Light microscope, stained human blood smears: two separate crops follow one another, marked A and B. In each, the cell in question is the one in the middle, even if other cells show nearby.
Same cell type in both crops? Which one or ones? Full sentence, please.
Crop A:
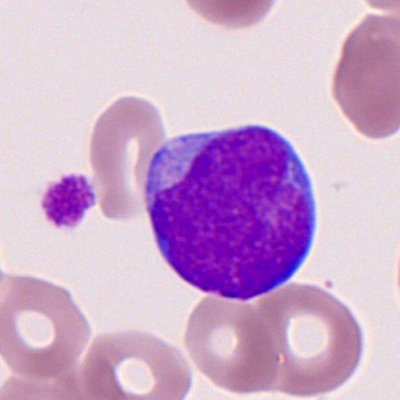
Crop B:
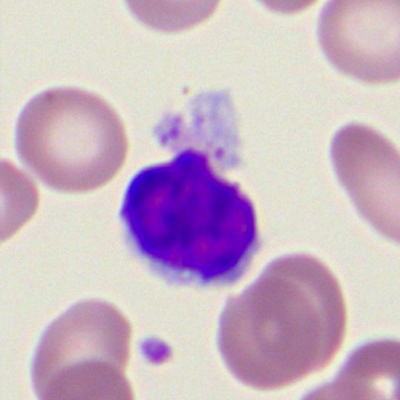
No, the middle of crop A holds a myeloblast, and the middle of crop B holds a lymphocyte.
